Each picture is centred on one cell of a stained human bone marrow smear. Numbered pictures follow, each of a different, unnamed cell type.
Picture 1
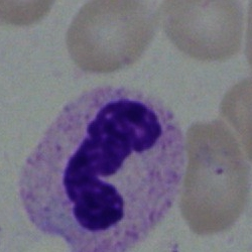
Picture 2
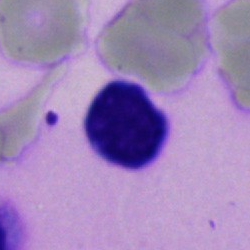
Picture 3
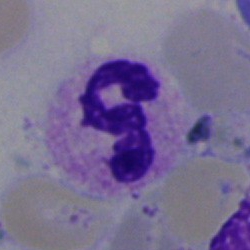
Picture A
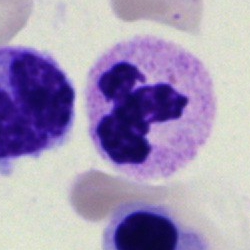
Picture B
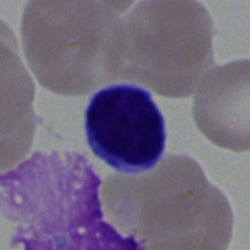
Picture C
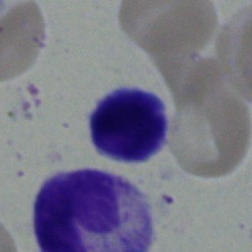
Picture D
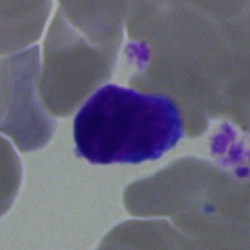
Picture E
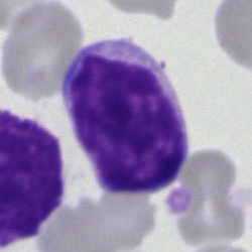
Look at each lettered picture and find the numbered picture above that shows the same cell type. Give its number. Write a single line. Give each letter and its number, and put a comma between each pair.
A 3, B 2, C 2, D 2, E 2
